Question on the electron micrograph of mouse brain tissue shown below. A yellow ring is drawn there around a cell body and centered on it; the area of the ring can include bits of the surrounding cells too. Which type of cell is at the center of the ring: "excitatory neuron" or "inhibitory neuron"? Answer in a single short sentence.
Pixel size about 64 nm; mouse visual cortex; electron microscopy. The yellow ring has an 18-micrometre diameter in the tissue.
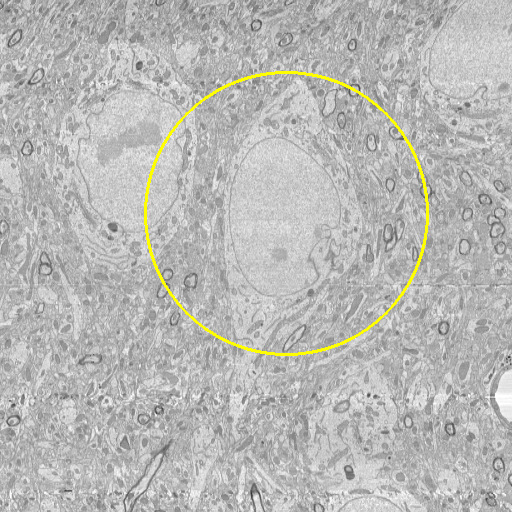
The ring is centered on an excitatory neuron.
